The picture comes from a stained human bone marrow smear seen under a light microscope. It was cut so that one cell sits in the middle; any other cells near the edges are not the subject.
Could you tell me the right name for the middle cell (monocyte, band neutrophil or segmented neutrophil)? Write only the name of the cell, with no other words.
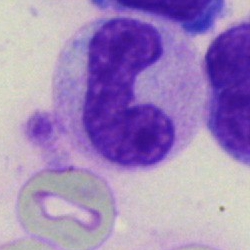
band neutrophil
